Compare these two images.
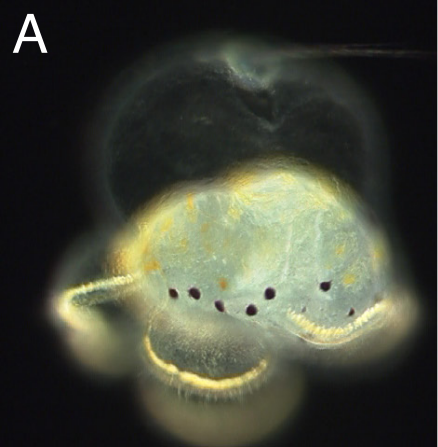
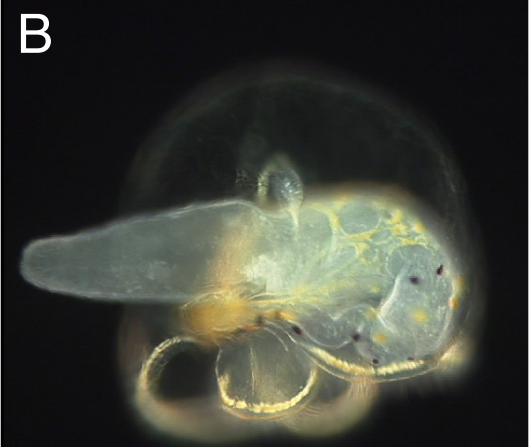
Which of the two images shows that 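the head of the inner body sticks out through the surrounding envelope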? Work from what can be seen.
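The second image. Second image: an elongated translucent lobe projects out to the left beyond the larval body. First image: the inner oval body stays wholly enclosed within the transparent larva.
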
